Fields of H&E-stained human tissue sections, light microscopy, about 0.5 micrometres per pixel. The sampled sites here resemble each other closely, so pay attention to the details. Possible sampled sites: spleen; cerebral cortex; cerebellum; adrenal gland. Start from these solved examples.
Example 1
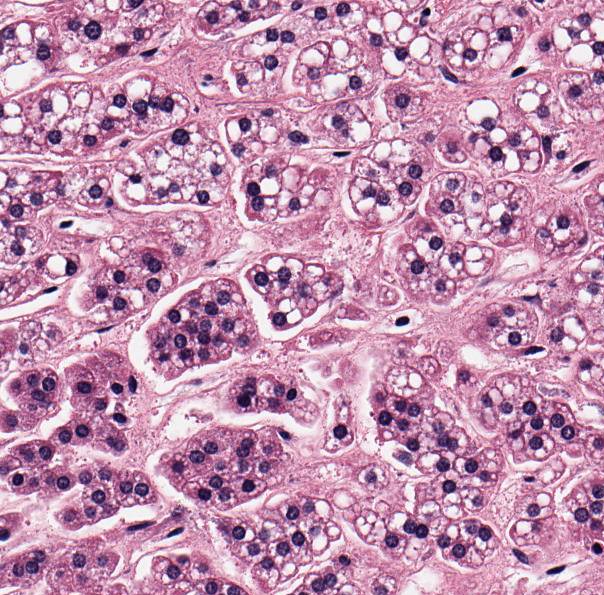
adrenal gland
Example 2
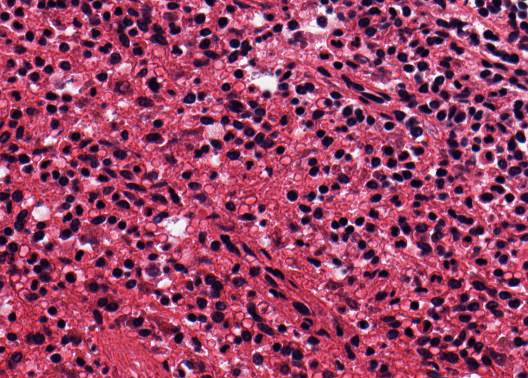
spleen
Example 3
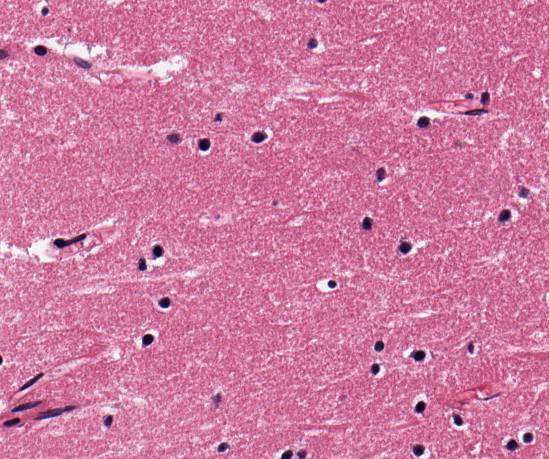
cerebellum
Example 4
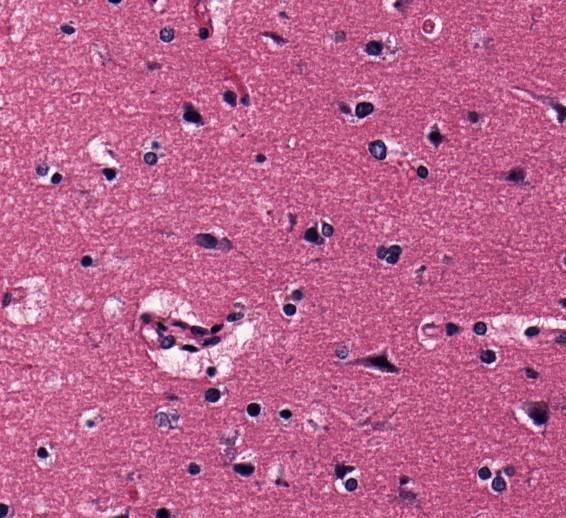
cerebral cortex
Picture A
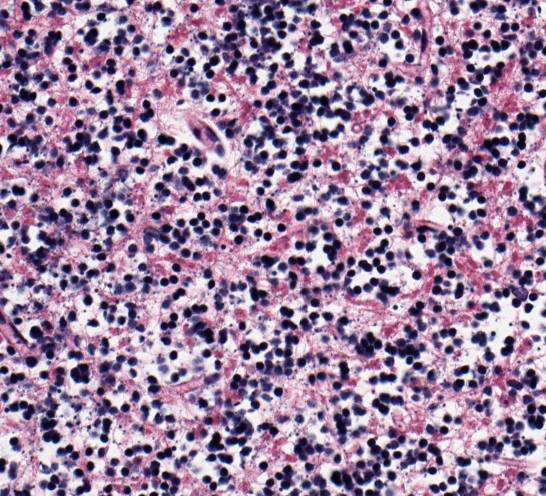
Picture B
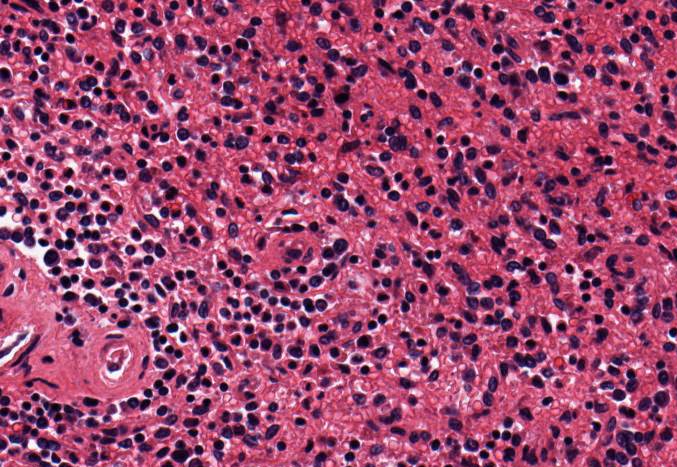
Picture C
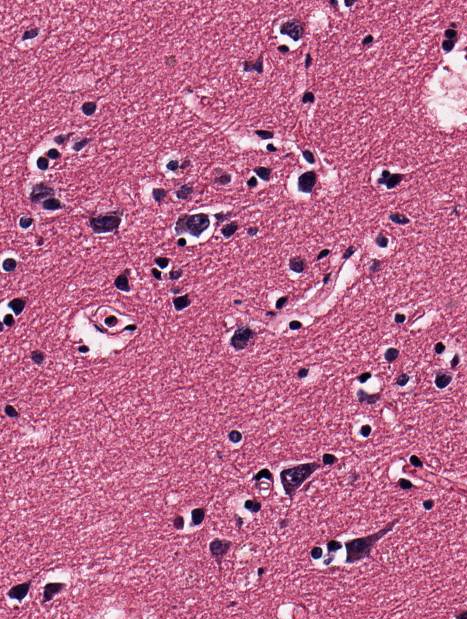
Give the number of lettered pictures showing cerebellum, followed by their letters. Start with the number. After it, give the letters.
1: A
